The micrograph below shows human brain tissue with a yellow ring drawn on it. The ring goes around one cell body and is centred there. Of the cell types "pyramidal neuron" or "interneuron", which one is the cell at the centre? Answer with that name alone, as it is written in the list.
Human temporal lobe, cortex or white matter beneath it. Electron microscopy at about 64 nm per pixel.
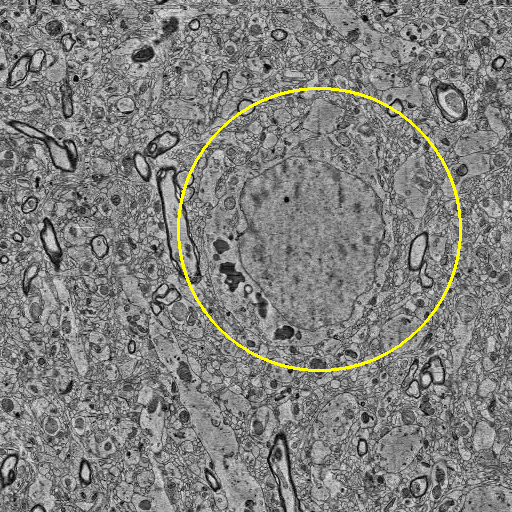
interneuron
